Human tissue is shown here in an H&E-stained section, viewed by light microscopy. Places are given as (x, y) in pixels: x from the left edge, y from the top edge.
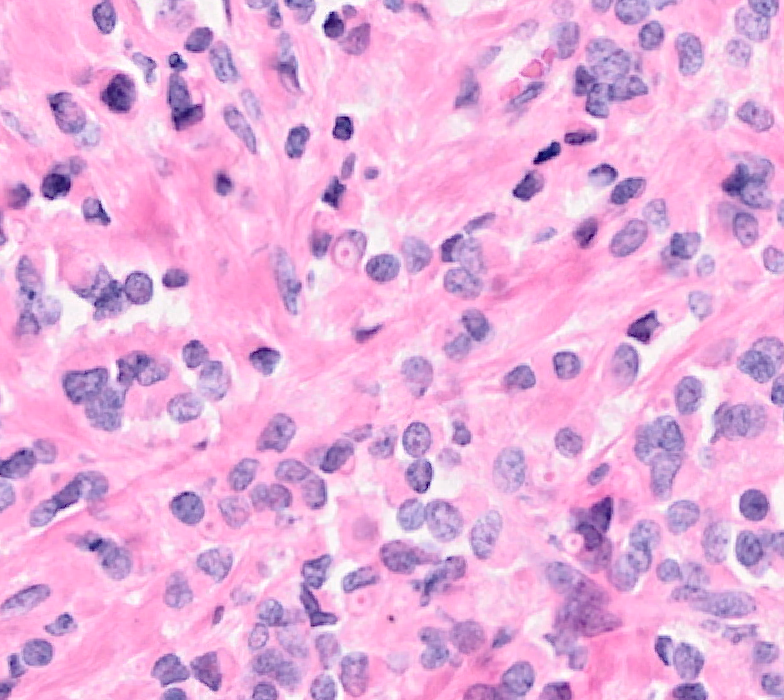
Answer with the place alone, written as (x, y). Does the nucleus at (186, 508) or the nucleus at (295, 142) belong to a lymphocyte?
(295, 142)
